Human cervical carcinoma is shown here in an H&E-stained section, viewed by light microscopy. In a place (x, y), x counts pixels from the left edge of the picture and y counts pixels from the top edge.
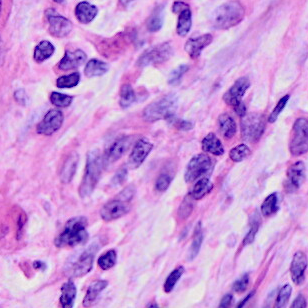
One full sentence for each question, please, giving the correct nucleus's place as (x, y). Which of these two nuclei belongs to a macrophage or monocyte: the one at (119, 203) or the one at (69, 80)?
The cell to which the nucleus at (119, 203) belongs is a macrophage or monocyte.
